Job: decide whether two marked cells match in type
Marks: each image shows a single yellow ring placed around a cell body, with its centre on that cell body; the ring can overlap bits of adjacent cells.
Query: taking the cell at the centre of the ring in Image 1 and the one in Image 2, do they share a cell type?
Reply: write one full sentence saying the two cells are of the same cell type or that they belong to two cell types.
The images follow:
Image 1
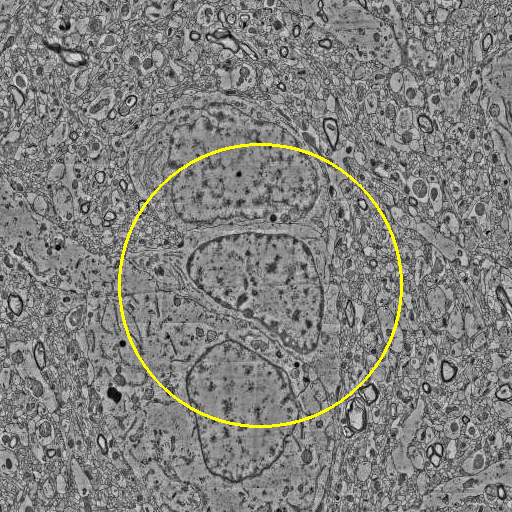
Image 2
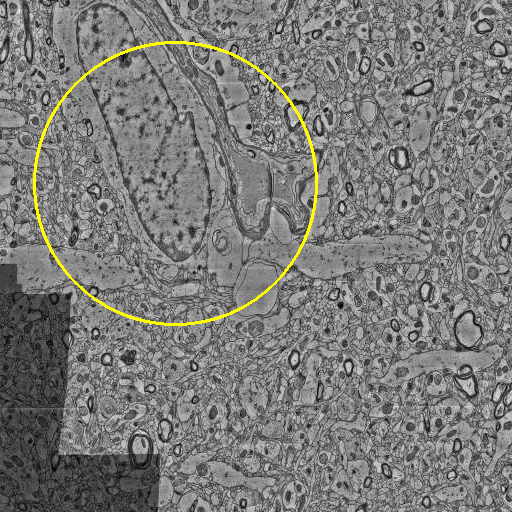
The cells at the ring centres in Image 1 and Image 2 are of the same cell type.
